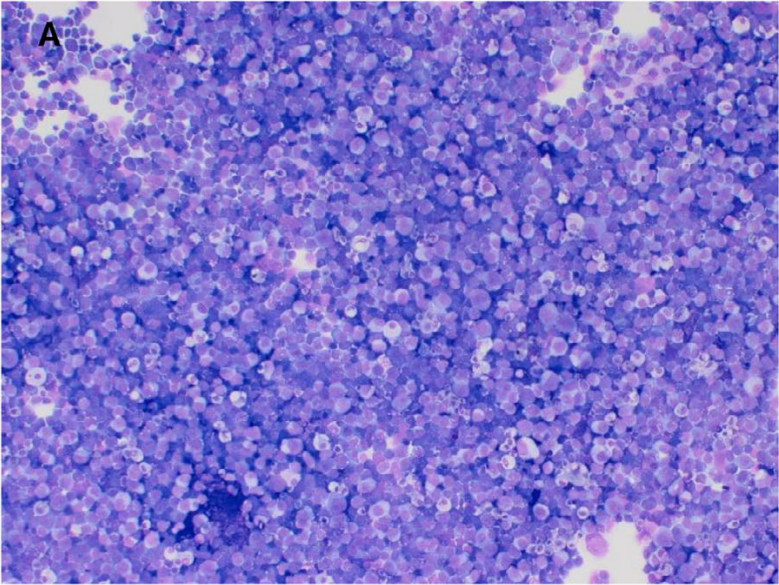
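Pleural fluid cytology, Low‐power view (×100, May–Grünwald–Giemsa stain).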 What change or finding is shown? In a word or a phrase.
Dense population of large, immature monomorphic cells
